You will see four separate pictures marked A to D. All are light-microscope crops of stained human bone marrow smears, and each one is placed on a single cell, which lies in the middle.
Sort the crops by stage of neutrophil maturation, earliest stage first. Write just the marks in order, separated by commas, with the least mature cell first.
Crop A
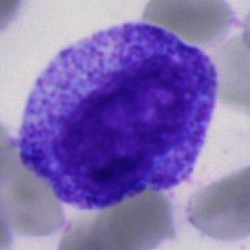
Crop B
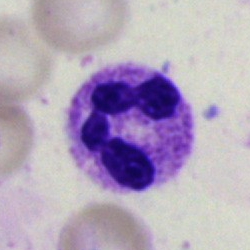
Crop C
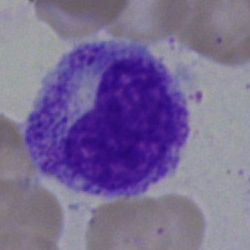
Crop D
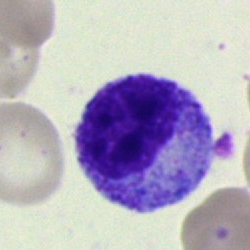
A, D, C, B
